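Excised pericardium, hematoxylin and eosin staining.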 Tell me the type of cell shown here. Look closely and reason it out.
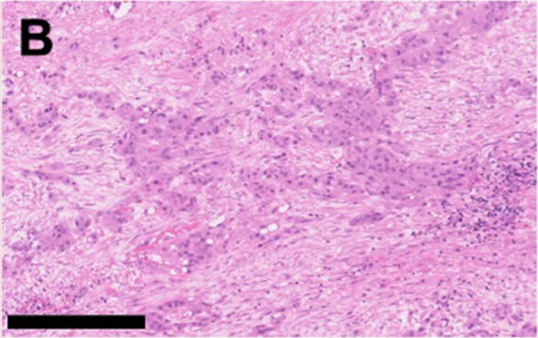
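Cords and clusters of polygonal cells with pink cytoplasm. Cells set in a pale pink fibrous stroma. Nuclei of the cells are larger than those of the surrounding stromal cells.
Conclusion: atypical epithelioid cells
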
